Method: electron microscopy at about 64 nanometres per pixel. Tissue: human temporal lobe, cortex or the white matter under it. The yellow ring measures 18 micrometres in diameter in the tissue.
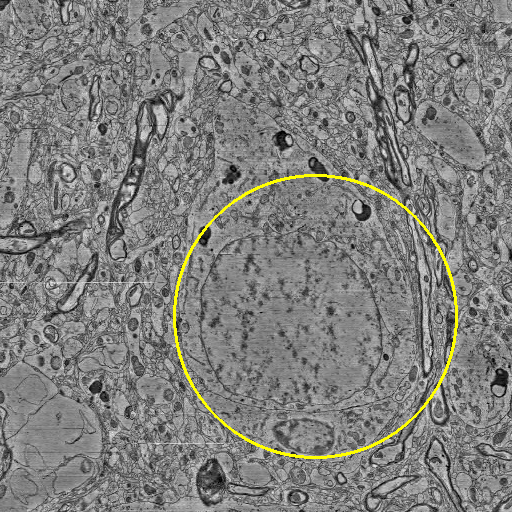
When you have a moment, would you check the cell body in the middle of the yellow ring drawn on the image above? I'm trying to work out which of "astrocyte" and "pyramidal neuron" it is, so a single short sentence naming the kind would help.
This cell body belongs to a pyramidal neuron.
